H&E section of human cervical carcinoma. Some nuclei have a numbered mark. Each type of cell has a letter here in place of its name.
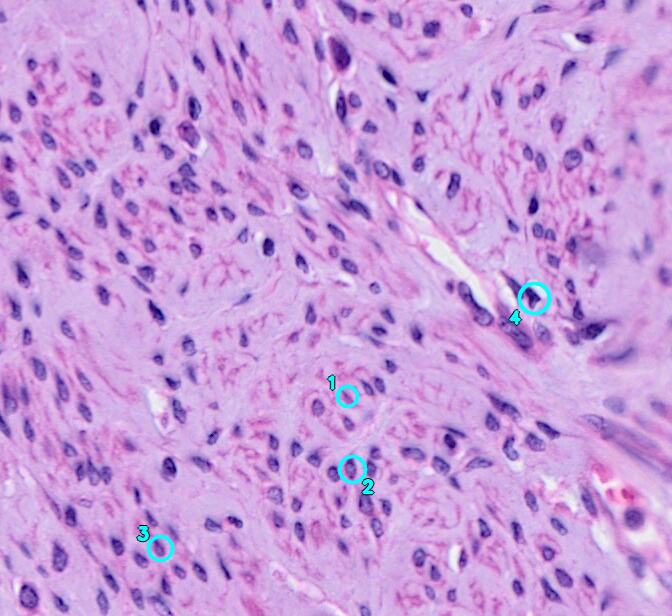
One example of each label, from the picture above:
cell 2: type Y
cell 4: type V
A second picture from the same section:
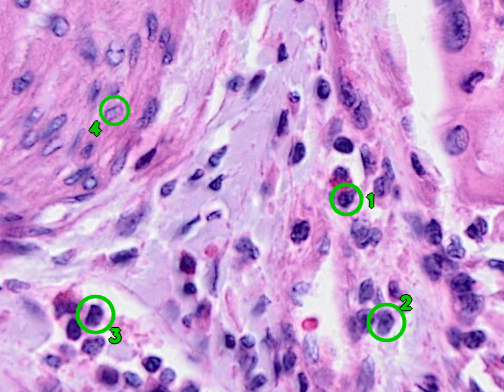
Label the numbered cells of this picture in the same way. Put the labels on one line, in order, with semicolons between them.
type V; type V; type V; type Y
